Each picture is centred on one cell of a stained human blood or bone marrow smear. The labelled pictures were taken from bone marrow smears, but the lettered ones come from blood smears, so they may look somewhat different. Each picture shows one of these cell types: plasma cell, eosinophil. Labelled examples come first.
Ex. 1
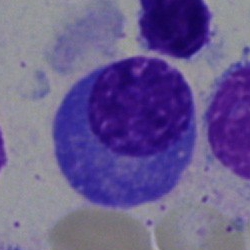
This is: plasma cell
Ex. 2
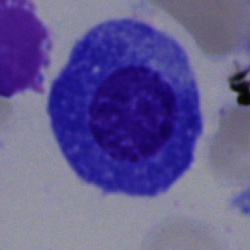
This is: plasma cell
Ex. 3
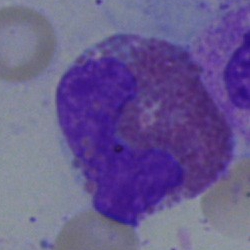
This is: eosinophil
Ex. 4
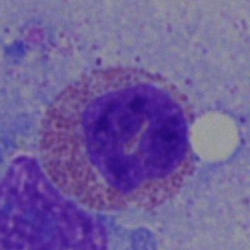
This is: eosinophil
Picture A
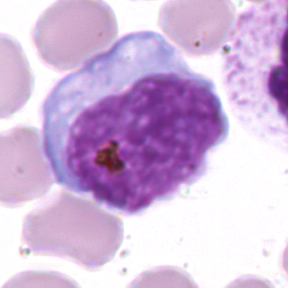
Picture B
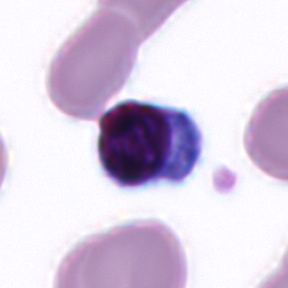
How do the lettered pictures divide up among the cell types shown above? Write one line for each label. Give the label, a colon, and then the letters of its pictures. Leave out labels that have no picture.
plasma cell: A, B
